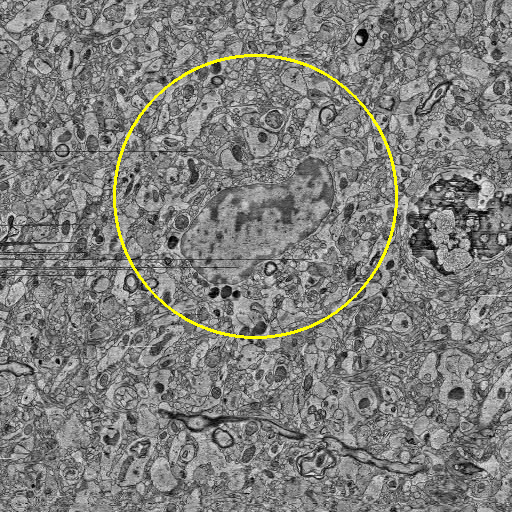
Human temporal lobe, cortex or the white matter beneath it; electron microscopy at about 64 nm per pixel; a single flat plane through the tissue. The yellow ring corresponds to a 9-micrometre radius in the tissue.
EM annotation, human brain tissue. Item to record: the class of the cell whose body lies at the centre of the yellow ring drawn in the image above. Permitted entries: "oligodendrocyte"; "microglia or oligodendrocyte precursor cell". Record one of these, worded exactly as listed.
microglia or oligodendrocyte precursor cell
